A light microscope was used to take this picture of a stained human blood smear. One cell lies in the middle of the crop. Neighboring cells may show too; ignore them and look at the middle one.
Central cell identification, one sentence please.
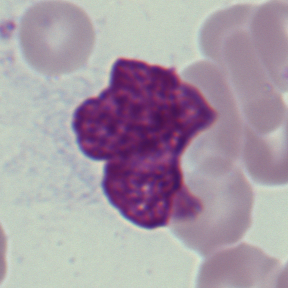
Whatever else lies nearby, the middle cell is a smudge cell.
